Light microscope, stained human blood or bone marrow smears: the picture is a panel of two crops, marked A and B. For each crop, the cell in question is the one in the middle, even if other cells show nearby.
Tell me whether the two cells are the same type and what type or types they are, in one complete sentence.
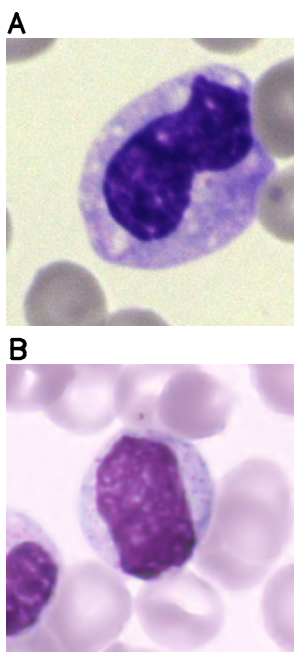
No, crop A shows a band neutrophil, whereas in crop B the cell is a metamyelocyte.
